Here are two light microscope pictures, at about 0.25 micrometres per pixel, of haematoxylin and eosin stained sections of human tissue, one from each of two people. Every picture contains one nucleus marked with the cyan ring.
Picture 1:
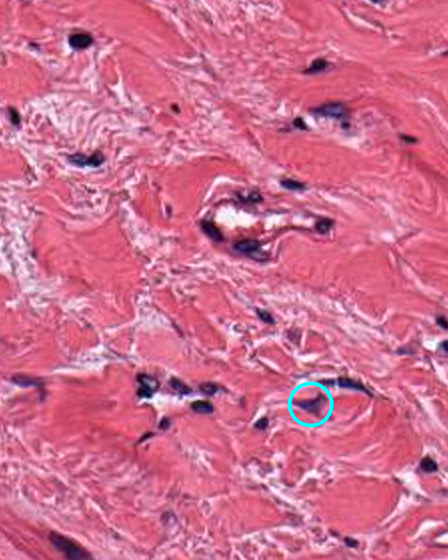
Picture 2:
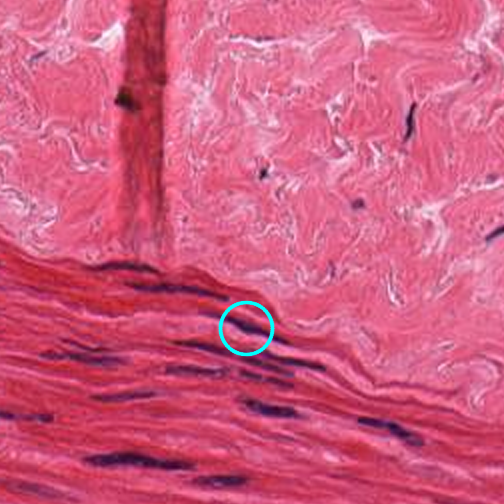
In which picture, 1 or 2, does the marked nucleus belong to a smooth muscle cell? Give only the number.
2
